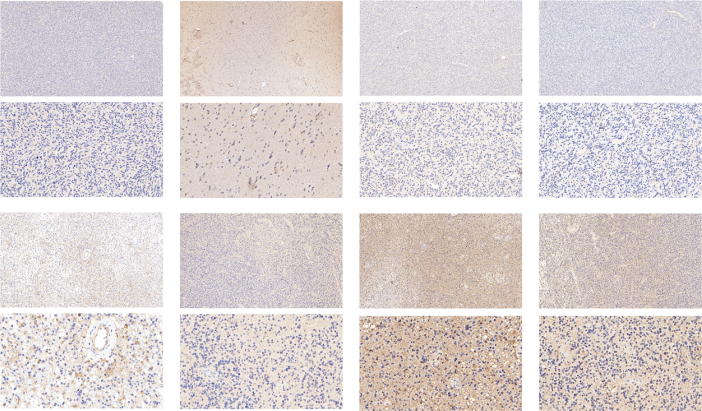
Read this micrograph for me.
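Brown staining varies between the images, from nearly absent to diffuse across the tissue. In the high-magnification views the brown stain lies in the tissue around and between the nuclei, and in one view it surrounds a small vessel.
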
